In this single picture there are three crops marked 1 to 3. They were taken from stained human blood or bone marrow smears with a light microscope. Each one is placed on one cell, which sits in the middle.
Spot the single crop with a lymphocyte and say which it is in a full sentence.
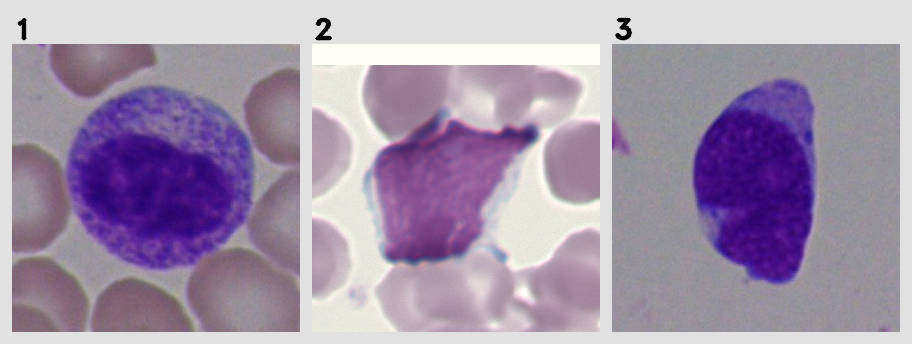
The crop with a lymphocyte at its center is crop 2.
